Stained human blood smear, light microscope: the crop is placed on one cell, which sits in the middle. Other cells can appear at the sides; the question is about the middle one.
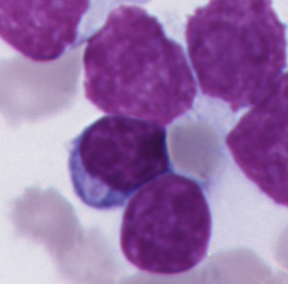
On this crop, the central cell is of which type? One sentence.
The cell found in the middle of this crop is a myeloblast.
